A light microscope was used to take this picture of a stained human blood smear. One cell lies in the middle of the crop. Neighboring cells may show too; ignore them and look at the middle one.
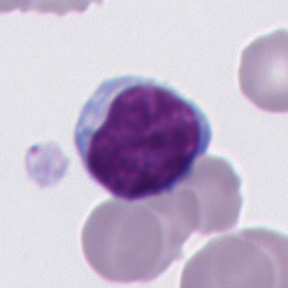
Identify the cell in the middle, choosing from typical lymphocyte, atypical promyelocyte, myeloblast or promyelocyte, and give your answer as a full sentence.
Centrally within this crop lies a typical lymphocyte.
